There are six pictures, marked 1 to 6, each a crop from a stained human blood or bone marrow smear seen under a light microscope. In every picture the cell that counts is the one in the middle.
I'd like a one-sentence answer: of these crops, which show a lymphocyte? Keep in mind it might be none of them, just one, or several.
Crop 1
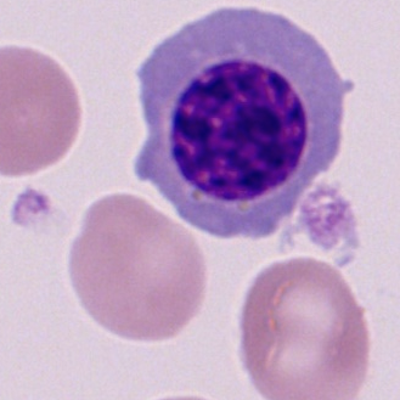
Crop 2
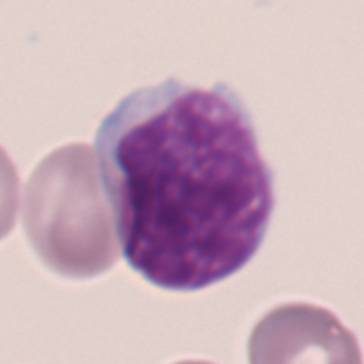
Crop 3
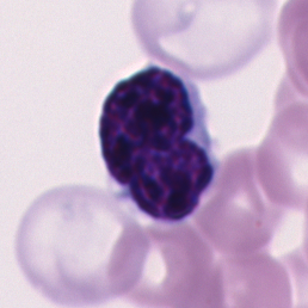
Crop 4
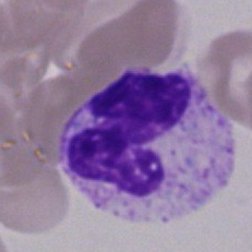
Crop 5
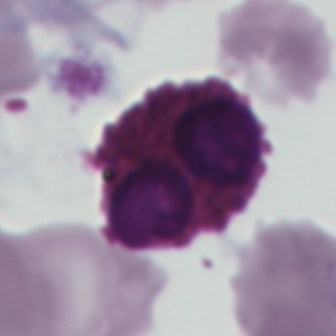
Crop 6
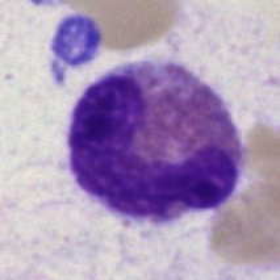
Only one of the crops shows a lymphocyte, and that crop is crop 2.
